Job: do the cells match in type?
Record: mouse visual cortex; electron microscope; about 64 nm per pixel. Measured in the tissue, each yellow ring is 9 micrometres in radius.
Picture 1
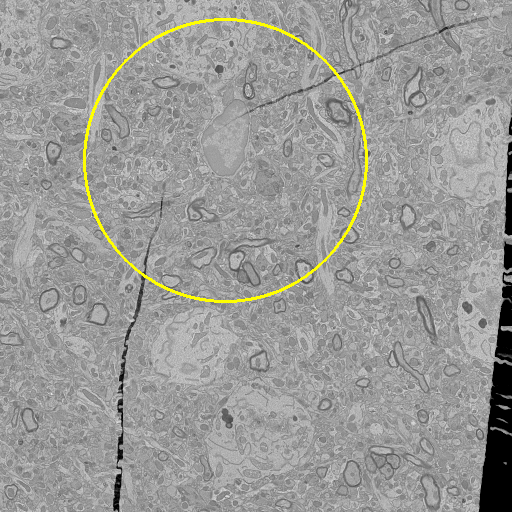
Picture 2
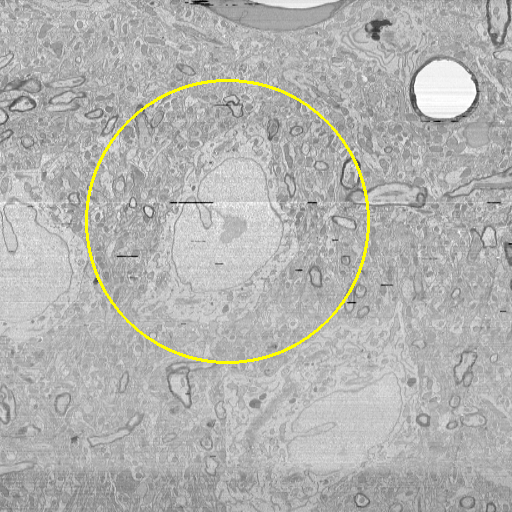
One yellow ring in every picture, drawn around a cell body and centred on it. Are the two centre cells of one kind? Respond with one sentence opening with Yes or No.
No, the ringed cells in the two pictures are of two separate kinds.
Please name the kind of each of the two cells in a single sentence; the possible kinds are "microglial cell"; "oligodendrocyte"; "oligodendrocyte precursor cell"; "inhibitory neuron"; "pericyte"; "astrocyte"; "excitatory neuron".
In the first picture the ring is centred on a microglial cell, and in the second on an excitatory neuron.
